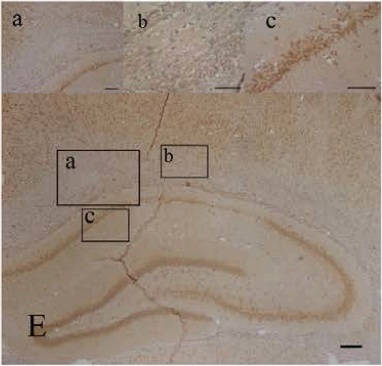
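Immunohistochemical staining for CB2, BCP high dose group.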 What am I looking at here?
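This section of brain shows the hippocampus, with its curved band of densely packed pyramidal cells and a nested V-shaped band of granule cells, both stained brown. The surrounding neuropil and the overlying white matter carry a lighter, diffuse brown tint. A thin dark fold or crack crosses the section.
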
